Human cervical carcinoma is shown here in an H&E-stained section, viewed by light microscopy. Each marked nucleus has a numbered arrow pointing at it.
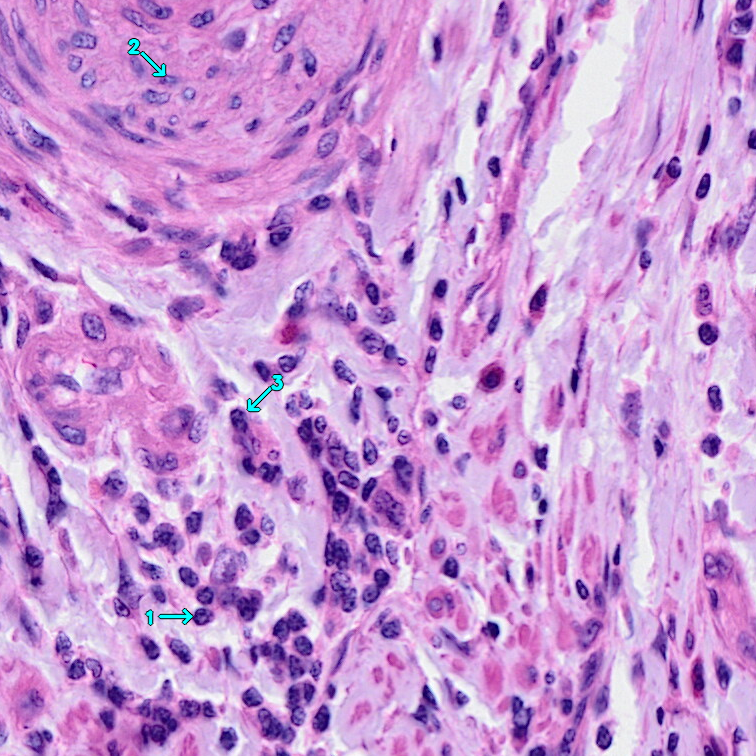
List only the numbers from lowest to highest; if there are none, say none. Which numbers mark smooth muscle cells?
2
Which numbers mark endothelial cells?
none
